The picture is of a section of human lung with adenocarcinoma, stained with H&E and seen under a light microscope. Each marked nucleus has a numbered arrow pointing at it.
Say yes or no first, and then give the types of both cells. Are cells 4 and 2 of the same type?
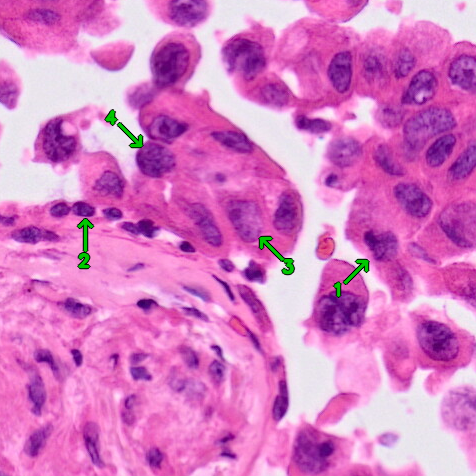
No, cell 4 counts as a carcinoma cell, and cell 2 counts as a lymphocyte.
